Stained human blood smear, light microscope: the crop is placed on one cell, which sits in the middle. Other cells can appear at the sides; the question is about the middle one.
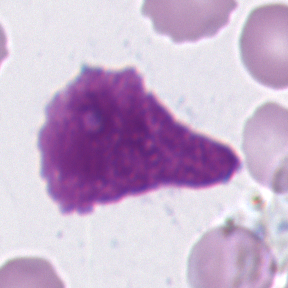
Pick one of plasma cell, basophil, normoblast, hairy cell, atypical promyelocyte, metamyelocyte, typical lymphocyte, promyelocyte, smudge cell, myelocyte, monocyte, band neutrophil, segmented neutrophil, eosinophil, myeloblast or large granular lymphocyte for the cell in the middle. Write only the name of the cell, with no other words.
smudge cell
